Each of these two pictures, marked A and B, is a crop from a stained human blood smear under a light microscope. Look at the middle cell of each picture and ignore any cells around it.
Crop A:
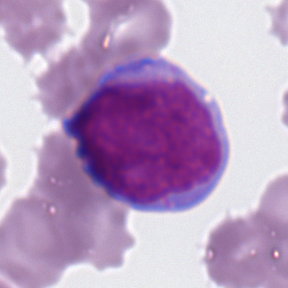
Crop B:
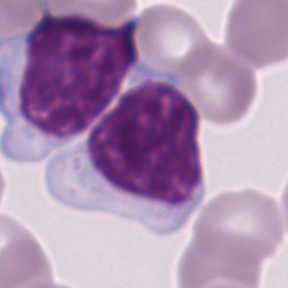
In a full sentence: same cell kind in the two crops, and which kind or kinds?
No, crop A contains a myeloblast, and crop B contains a large granular lymphocyte.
